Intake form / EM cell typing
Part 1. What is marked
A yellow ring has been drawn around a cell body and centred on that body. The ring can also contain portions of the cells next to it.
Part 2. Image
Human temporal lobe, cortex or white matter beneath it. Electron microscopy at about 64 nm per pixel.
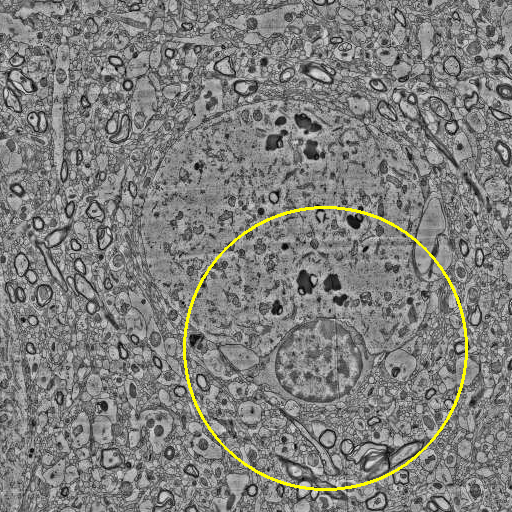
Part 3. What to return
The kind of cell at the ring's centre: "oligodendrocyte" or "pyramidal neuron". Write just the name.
oligodendrocyte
